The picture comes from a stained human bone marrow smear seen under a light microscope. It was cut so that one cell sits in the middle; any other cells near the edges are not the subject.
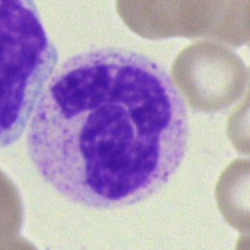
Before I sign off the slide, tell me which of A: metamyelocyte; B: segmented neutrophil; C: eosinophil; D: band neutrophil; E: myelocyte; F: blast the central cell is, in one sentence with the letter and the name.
Seen at the centre of the crop is a segmented neutrophil, so option B is correct.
